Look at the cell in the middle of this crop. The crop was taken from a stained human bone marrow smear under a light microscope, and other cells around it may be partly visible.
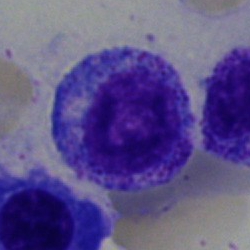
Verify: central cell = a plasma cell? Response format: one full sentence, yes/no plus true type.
No, what the centre of the crop shows is a promyelocyte, not a plasma cell.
